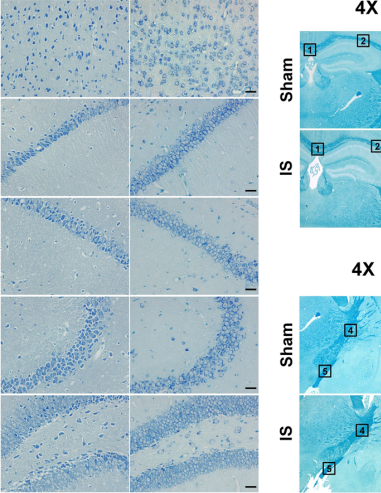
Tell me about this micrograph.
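In the top row, the cortex shows scattered neuronal cell bodies in a pale background. In the rows below, the hippocampal neurons form dense curved bands of closely packed cell bodies, the pyramidal layer of the cornu ammonis subfields, and the granule cell layer of the dentate gyrus. The neurons have stained cytoplasm around rounder, paler nuclei.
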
